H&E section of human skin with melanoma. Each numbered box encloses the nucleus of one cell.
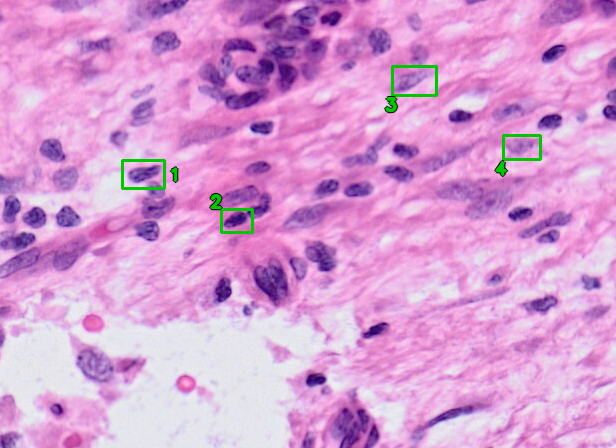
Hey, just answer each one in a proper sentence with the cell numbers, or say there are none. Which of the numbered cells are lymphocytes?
The cells whose numbers are 1 and 2 are lymphocytes.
